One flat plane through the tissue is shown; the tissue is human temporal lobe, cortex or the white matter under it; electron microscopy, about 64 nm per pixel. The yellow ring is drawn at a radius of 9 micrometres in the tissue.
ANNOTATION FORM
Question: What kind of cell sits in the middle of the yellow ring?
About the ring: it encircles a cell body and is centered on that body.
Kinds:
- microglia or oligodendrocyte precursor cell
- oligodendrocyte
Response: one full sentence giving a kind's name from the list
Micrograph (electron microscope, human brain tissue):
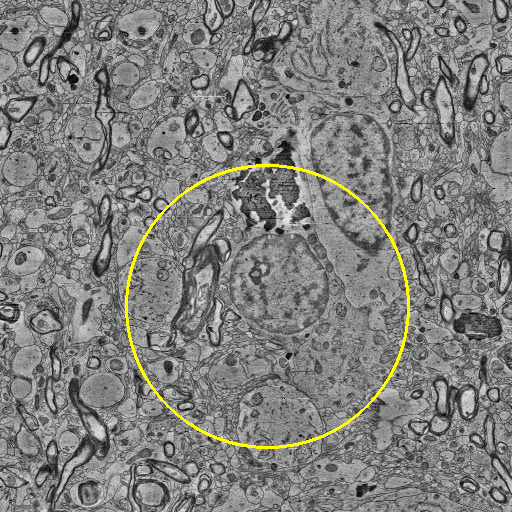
The kind of cell found at the center of the yellow ring in the micrograph is an oligodendrocyte.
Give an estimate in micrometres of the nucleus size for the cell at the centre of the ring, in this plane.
About 7 micrometres across in this plane.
